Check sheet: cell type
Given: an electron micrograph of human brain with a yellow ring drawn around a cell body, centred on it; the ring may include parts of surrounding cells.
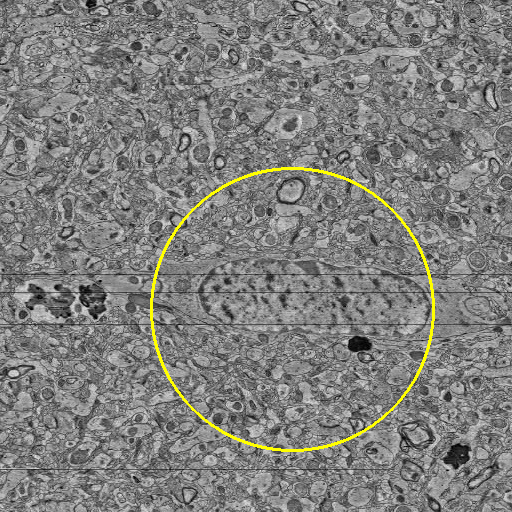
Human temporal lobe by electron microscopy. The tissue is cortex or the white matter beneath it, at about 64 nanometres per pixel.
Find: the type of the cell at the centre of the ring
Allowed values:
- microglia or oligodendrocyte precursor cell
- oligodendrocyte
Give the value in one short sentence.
Here the ringed cell is a microglial cell or oligodendrocyte precursor cell.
